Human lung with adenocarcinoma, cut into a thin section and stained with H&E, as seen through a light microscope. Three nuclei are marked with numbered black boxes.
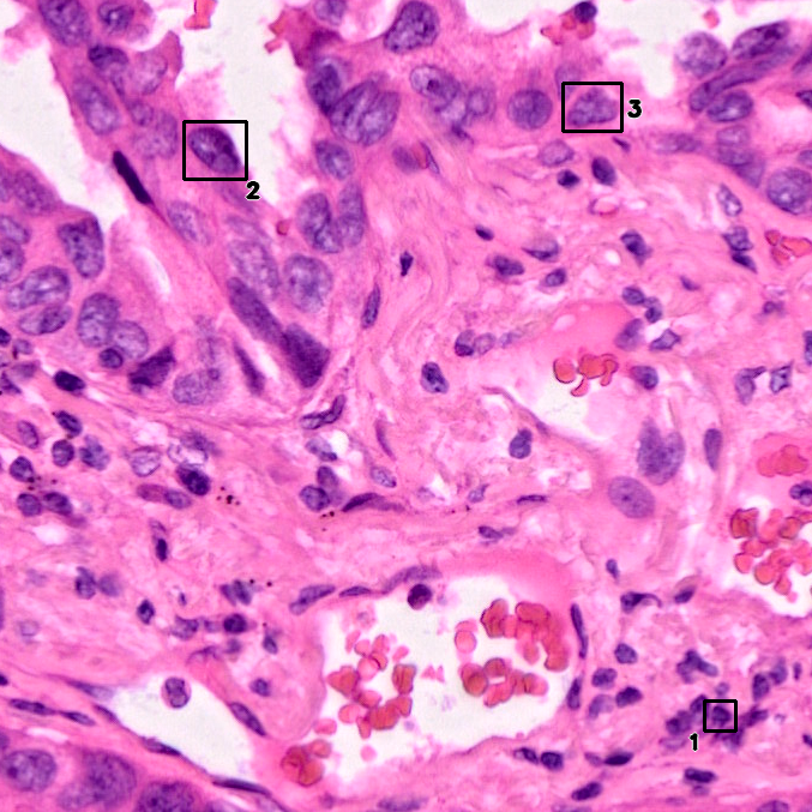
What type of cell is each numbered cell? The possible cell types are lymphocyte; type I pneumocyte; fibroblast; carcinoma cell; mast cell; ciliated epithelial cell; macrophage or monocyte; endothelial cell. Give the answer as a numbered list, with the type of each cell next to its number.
1. lymphocyte
2. carcinoma cell
3. carcinoma cell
